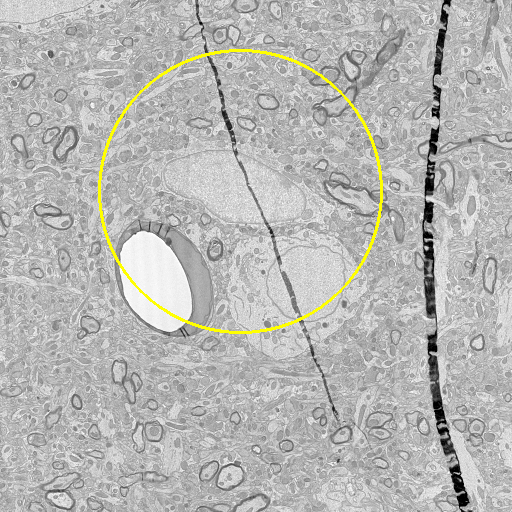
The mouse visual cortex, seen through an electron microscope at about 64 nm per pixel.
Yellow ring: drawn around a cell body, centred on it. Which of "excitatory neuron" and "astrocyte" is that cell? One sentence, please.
That cell body is from an astrocyte.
